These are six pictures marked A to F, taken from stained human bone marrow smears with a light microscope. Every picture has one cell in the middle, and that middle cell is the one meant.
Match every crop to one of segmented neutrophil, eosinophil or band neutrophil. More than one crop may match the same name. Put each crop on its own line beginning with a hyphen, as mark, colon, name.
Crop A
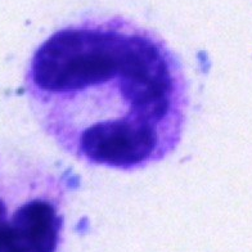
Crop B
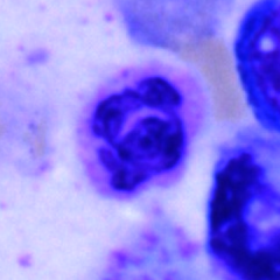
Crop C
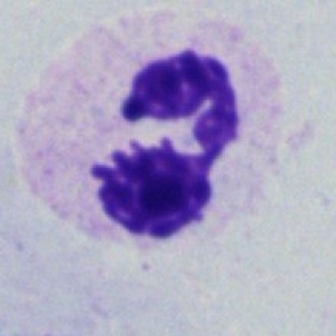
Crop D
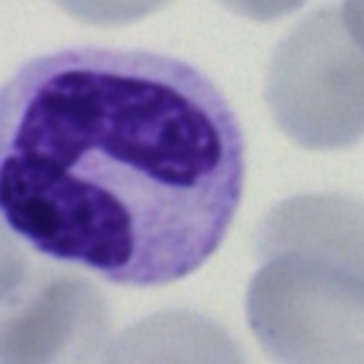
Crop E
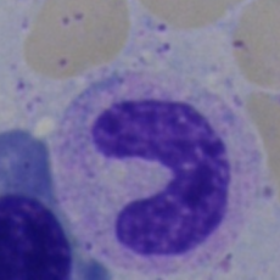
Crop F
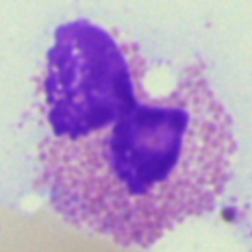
- A: segmented neutrophil
- B: segmented neutrophil
- C: segmented neutrophil
- D: band neutrophil
- E: band neutrophil
- F: eosinophil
